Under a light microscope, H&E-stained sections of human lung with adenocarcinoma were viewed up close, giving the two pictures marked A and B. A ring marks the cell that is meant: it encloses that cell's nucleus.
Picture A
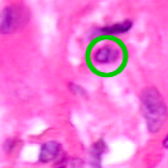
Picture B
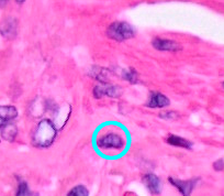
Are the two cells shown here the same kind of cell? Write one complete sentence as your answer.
Yes, both are mast cells.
